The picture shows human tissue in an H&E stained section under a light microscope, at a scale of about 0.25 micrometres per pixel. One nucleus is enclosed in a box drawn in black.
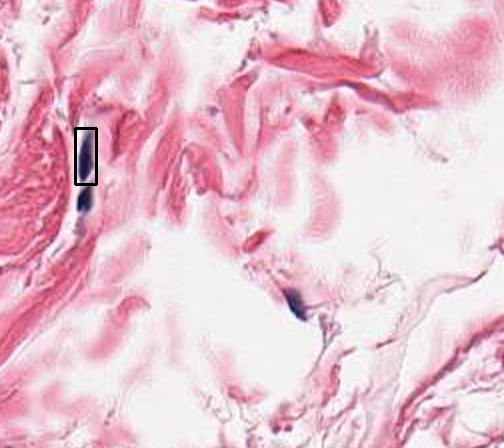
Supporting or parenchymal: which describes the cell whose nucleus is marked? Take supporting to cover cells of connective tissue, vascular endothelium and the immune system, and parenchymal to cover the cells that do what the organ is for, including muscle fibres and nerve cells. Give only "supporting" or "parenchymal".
supporting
